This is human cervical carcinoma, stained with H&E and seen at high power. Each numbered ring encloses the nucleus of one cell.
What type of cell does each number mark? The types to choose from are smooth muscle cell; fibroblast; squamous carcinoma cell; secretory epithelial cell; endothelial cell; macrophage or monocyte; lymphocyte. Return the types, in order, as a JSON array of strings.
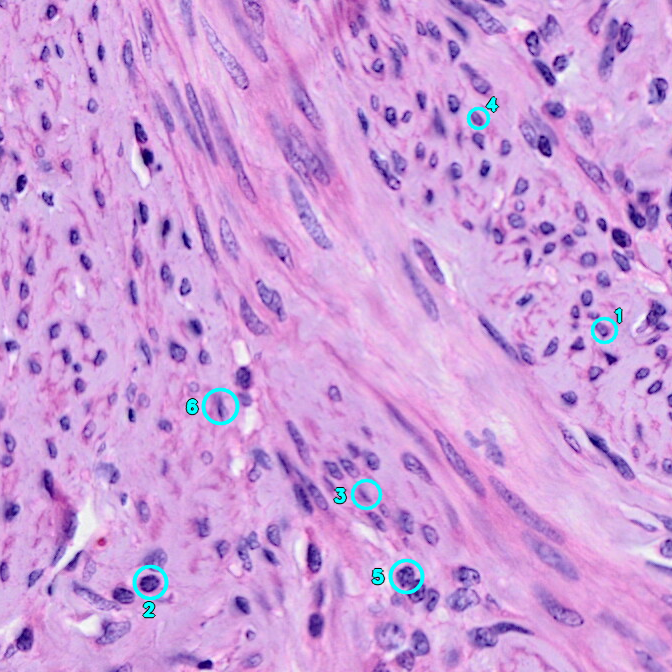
["smooth muscle cell", "lymphocyte", "smooth muscle cell", "smooth muscle cell", "lymphocyte", "smooth muscle cell"]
